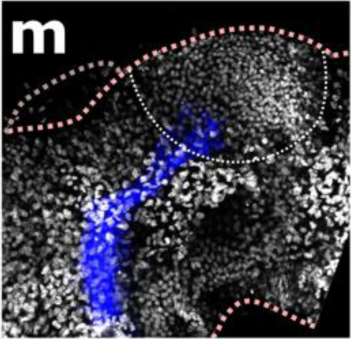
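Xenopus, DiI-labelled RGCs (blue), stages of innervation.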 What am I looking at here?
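This is a side view of the developing brain with the optic tectum as a dorsal dome, its boundary drawn as a dotted line, filled with densely packed small round nuclei shown in white. A thick blue bundle of fibres ascends from the lower left of the image toward the tectum and reaches its lower margin. The nuclei within the tectum are tightly crowded, while regions below it contain darker, less densely packed areas between clusters of nuclei.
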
